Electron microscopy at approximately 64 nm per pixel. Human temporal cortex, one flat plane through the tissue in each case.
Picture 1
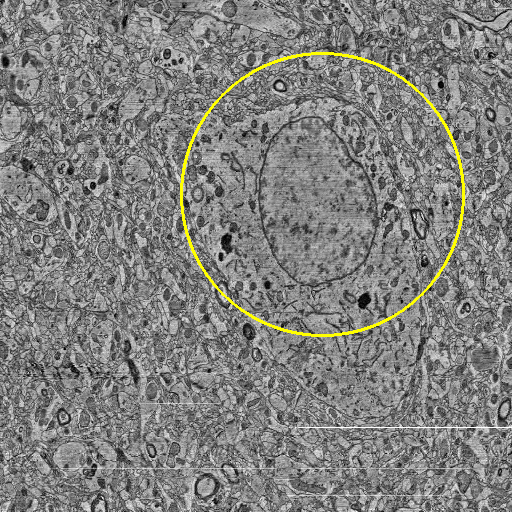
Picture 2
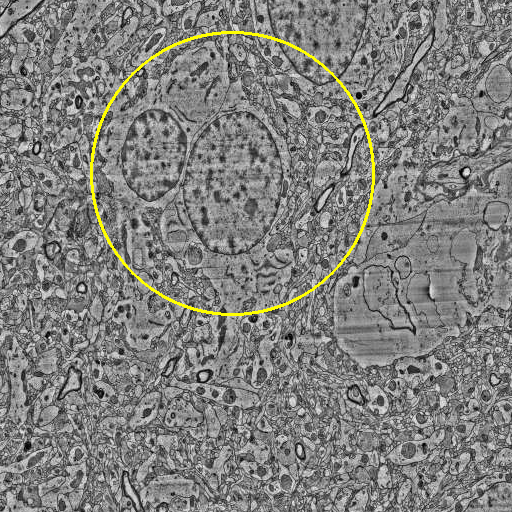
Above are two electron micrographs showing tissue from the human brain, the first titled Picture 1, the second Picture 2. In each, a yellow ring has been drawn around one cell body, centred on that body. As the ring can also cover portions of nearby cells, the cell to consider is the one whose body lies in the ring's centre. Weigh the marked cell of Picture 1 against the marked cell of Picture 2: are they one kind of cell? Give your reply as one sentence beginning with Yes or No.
No, the two cells sitting at the ring centres in the pictures are of two kinds.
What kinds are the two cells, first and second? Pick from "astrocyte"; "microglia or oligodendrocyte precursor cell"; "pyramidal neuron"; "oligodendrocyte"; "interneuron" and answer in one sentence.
The second picture holds an astrocyte in its ring, and the first holds a pyramidal neuron.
